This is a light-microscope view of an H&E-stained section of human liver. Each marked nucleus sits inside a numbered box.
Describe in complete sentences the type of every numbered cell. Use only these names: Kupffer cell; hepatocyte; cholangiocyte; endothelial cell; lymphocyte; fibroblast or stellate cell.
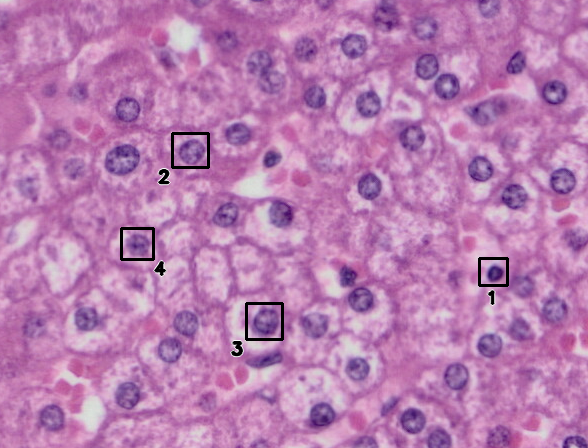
Cell 1 is a lymphocyte, cell 2 is a hepatocyte, cell 3 is a hepatocyte and cell 4 is a hepatocyte.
